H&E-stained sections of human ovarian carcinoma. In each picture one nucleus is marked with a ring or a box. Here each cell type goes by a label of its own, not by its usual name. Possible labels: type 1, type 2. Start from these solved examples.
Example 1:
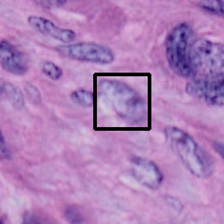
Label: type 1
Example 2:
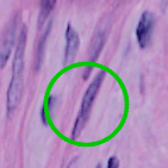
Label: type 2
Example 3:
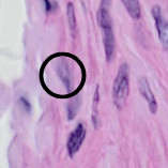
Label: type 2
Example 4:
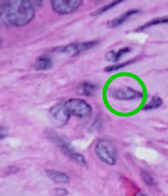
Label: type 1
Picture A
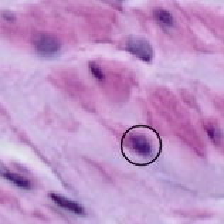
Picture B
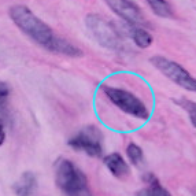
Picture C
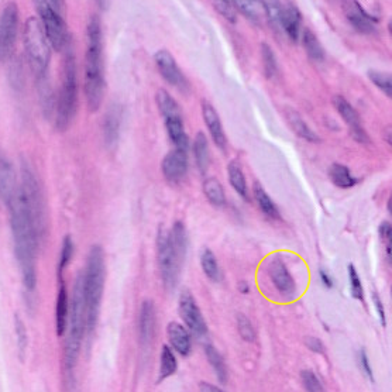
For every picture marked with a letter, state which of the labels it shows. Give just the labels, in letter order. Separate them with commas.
type 2, type 2, type 2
